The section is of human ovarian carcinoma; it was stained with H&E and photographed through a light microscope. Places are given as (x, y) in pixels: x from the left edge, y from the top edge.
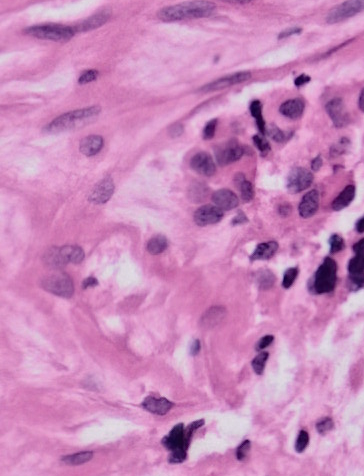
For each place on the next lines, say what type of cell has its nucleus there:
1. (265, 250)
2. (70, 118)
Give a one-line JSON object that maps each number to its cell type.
{"1": "macrophage or monocyte", "2": "fibroblast"}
